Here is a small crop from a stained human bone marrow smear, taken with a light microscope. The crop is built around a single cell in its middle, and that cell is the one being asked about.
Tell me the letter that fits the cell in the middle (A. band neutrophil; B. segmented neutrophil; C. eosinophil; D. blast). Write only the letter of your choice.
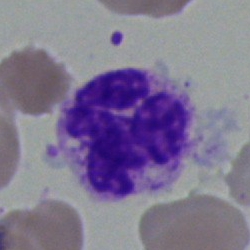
B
